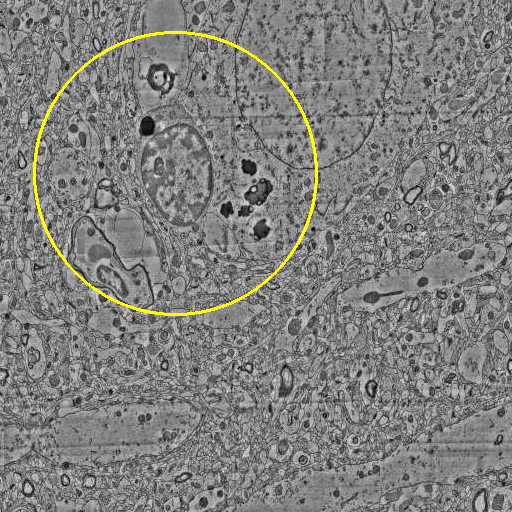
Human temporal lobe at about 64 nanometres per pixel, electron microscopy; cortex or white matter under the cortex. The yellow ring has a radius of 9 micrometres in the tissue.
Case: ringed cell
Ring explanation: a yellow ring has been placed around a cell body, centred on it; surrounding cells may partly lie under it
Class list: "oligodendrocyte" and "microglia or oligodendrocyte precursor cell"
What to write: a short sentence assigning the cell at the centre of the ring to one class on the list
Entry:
The cell at the ring's centre is an oligodendrocyte.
